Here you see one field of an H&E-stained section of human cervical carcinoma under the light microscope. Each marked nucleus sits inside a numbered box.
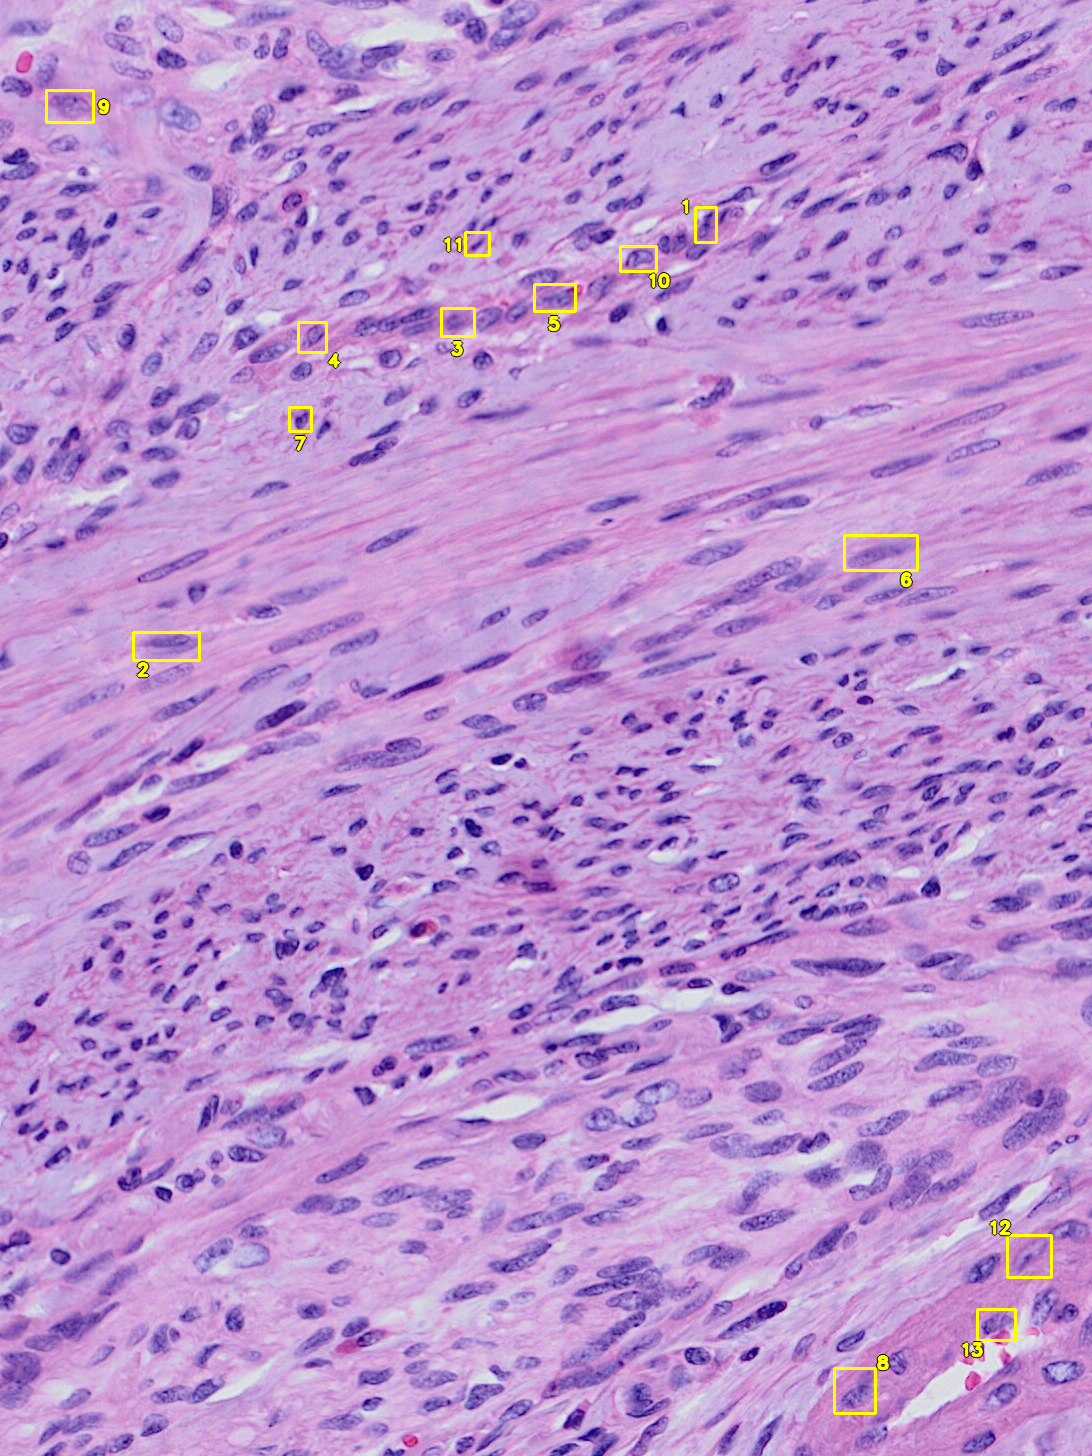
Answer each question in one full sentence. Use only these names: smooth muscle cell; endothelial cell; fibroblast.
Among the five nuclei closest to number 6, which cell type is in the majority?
The majority of the five nuclei closest to number 6 belong to fibroblasts.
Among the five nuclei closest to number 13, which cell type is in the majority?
Endothelial cells account for more than half of the five nuclei nearest to number 13.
